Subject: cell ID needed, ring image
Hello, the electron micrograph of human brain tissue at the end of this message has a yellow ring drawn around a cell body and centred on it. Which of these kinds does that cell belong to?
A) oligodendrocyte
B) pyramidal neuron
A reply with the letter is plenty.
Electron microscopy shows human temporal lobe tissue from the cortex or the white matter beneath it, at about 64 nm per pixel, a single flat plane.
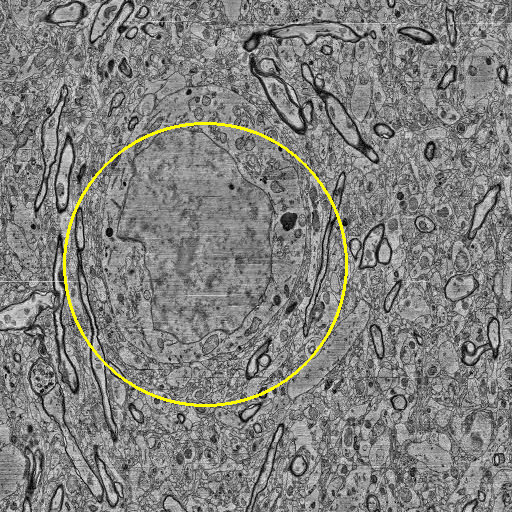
B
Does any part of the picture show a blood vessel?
No.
